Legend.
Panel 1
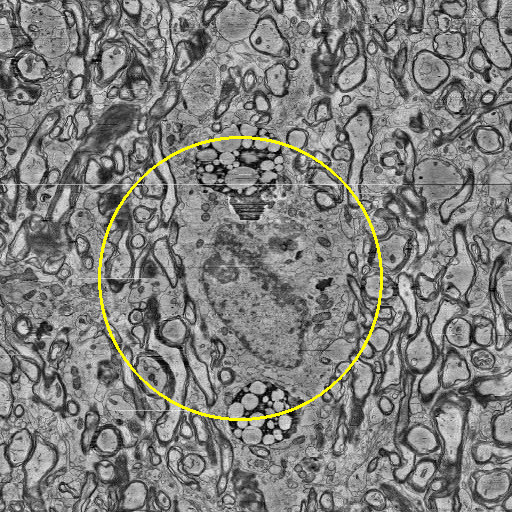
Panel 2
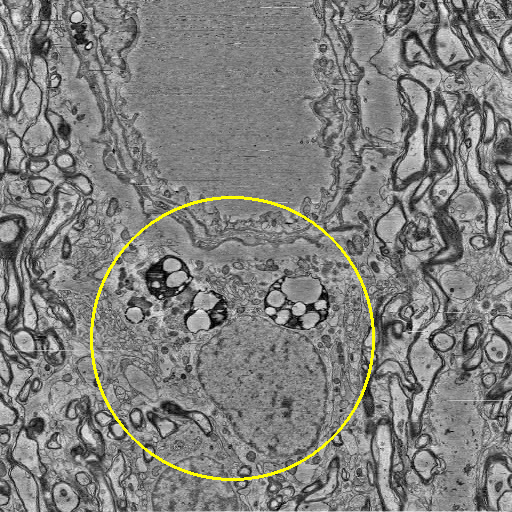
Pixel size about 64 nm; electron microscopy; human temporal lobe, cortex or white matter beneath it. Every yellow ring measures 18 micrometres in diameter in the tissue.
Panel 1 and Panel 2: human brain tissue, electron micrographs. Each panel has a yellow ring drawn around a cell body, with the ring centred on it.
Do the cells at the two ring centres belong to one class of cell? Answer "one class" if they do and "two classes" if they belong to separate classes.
one class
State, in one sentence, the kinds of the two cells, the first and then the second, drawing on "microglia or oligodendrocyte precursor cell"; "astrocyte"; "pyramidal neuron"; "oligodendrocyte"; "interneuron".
In the first picture and in the second, the ring is centred on an astrocyte.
